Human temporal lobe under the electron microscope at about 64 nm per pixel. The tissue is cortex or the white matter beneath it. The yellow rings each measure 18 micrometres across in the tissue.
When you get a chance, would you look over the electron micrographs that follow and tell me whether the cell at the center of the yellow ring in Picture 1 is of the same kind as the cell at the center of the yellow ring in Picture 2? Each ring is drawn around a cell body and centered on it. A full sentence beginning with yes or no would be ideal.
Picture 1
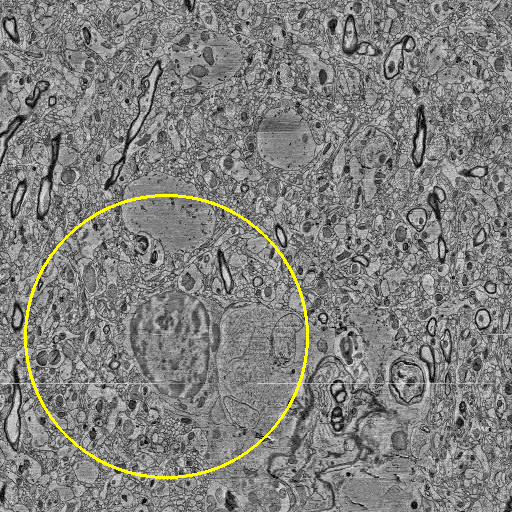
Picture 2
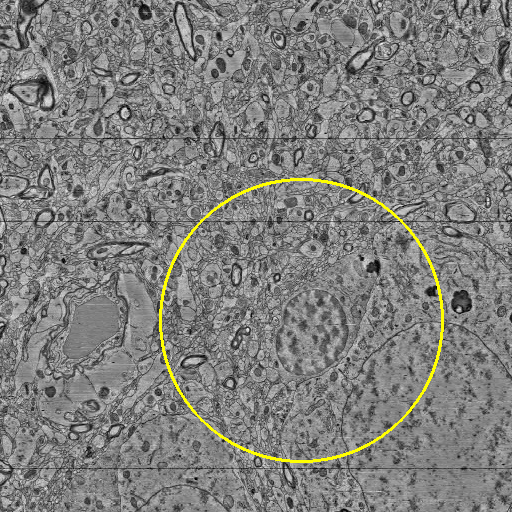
Yes, the two cells are of the same kind.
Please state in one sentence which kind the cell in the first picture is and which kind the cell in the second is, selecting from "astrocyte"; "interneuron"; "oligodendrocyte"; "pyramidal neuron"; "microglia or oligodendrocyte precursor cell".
In each of the two pictures, the ringed cell is an oligodendrocyte.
